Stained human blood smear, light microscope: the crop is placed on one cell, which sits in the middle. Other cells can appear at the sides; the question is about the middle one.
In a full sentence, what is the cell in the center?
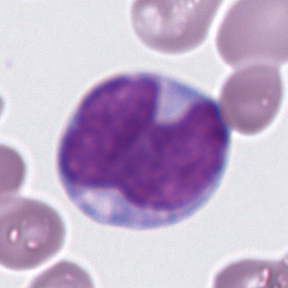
In the centre of this crop there is an atypical promyelocyte.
